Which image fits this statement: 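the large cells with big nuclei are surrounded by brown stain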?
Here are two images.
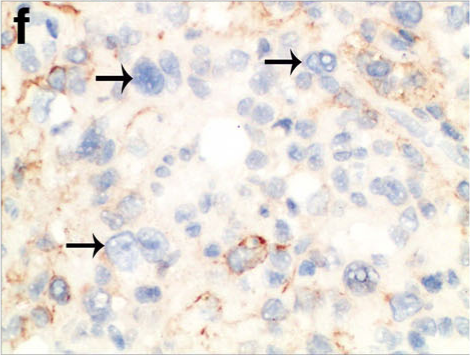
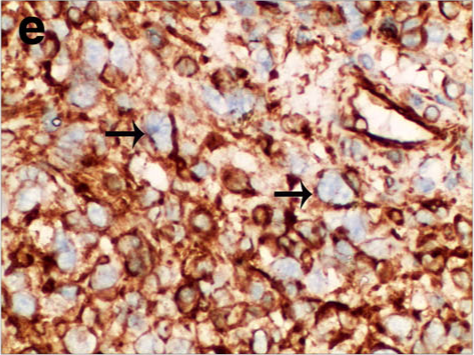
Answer: The second image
